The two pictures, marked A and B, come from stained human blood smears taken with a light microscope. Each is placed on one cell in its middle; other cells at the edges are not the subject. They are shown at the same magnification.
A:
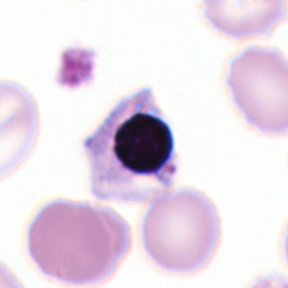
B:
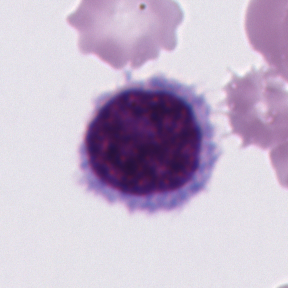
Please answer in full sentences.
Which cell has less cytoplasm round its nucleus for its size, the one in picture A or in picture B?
The nucleus fills more of the cell in picture B than in picture A.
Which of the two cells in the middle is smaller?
Smaller is the cell in picture A, and the other is about 2.5 times as large in area.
